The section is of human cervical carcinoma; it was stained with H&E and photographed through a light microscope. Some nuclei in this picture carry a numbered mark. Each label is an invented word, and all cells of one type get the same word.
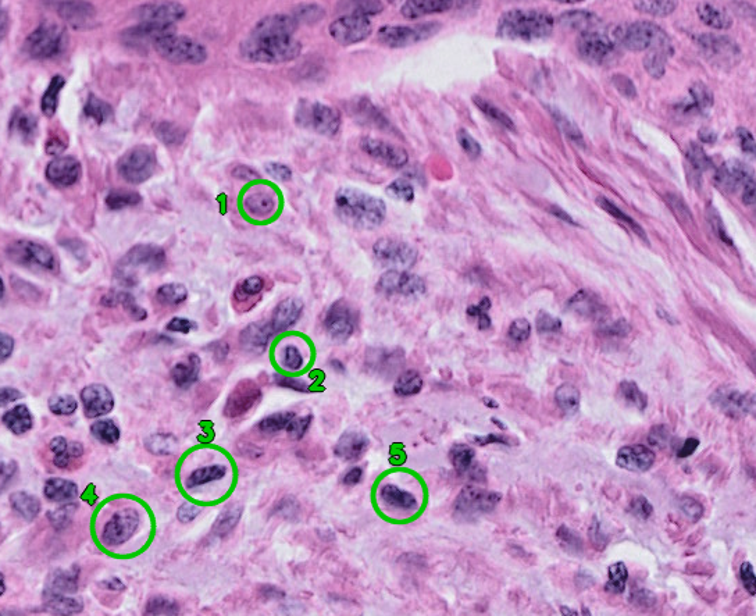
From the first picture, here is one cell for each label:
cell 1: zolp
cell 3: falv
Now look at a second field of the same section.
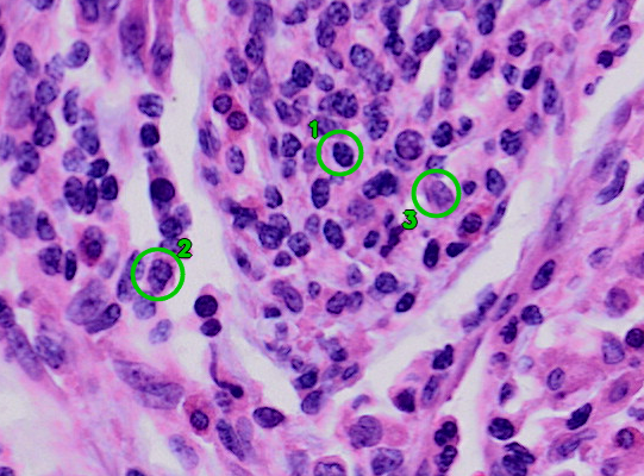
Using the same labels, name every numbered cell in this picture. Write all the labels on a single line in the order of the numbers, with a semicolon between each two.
falv; falv; zolp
